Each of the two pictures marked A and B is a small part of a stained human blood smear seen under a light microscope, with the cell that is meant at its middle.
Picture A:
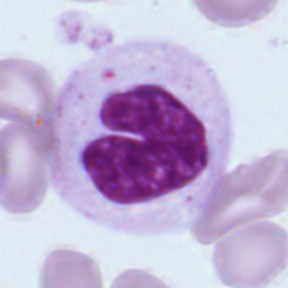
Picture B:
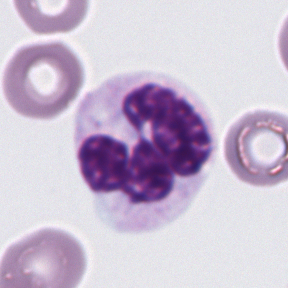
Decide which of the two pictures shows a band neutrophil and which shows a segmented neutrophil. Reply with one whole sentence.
Picture A is of a band neutrophil, and picture B is of a segmented neutrophil.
